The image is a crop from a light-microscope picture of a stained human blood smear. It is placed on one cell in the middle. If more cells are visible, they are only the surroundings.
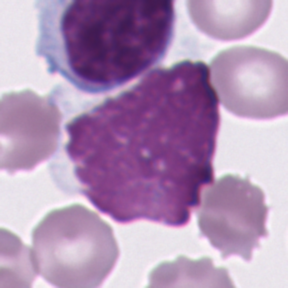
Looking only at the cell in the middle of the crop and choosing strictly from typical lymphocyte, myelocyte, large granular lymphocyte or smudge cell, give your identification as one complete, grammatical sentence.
Regarding the central cell, it is a smudge cell.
